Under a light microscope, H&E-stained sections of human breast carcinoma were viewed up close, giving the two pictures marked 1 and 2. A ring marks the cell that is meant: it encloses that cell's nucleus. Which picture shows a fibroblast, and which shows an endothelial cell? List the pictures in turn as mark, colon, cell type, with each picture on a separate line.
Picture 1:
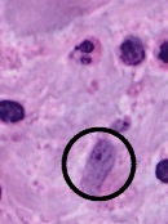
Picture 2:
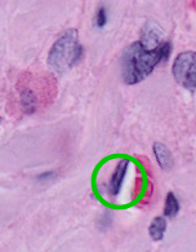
1: fibroblast
2: endothelial cell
